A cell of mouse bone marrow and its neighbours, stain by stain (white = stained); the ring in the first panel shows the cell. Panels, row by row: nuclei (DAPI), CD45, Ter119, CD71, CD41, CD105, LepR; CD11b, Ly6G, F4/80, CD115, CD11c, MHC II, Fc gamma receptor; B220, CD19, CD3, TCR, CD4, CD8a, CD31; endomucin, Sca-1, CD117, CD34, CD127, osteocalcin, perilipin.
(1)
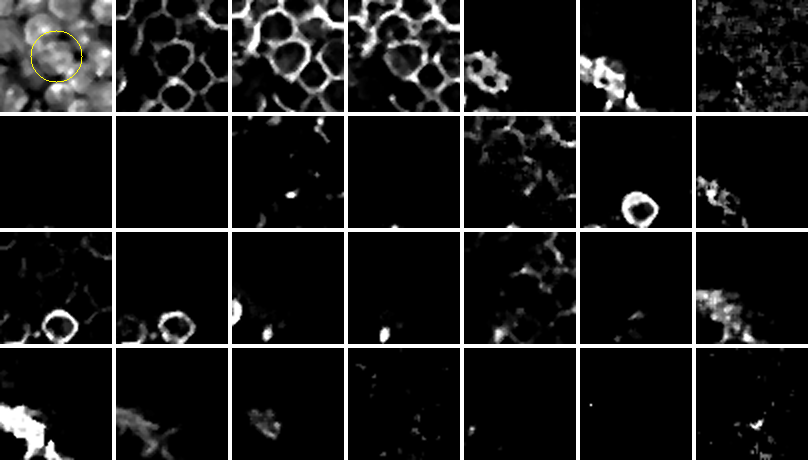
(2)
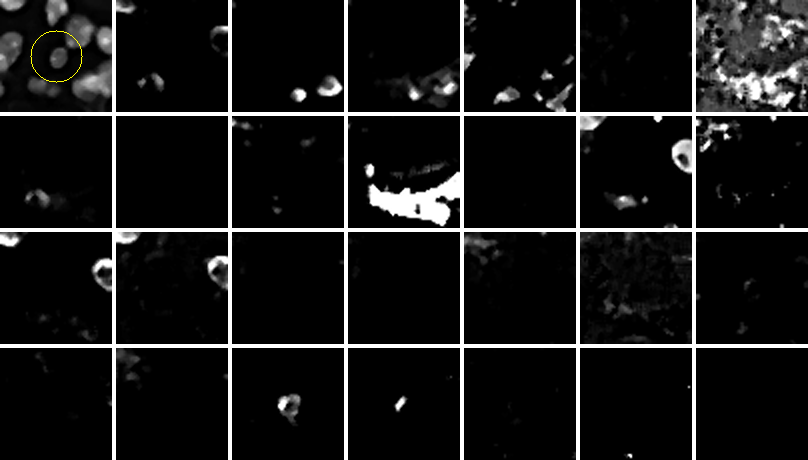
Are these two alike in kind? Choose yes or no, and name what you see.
No. First an erythroblast, second a common myeloid progenitor.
